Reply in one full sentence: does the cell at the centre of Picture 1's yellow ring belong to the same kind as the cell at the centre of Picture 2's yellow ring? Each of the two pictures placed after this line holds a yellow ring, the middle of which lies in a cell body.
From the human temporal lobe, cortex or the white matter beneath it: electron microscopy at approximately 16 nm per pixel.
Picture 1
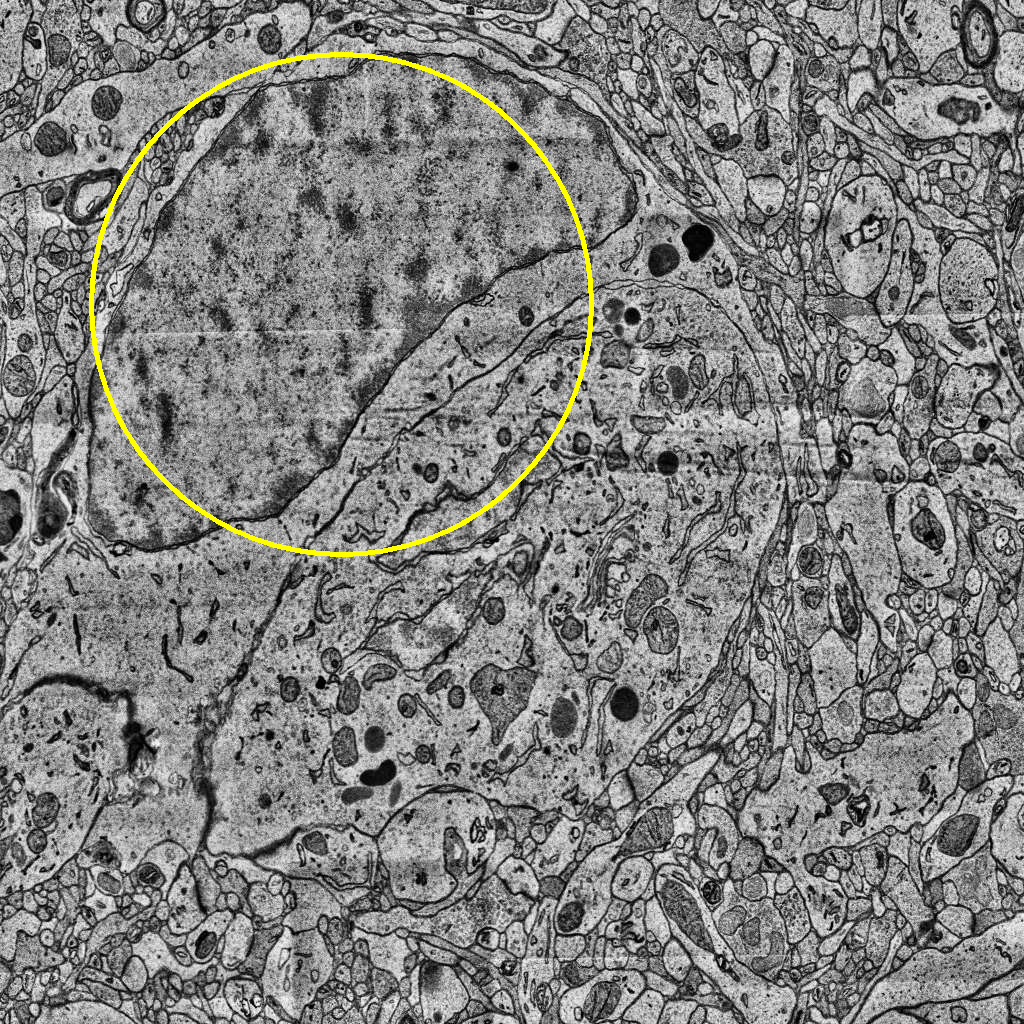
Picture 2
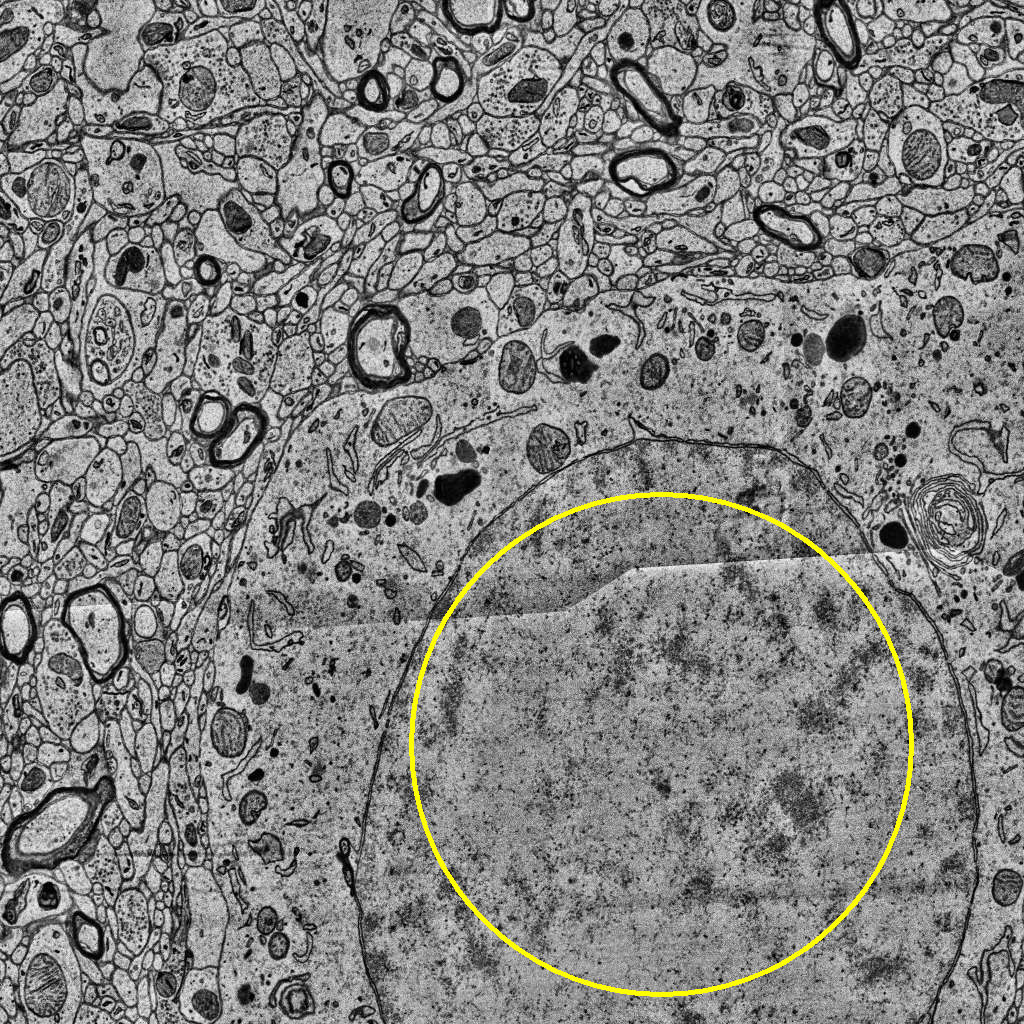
No, the cells at the ring centres in Picture 1 and Picture 2 are of two separate kinds.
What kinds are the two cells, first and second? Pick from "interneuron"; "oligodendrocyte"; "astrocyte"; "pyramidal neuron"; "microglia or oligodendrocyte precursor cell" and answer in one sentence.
The second cell is a pyramidal neuron, while the first is a microglial cell or oligodendrocyte precursor cell.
